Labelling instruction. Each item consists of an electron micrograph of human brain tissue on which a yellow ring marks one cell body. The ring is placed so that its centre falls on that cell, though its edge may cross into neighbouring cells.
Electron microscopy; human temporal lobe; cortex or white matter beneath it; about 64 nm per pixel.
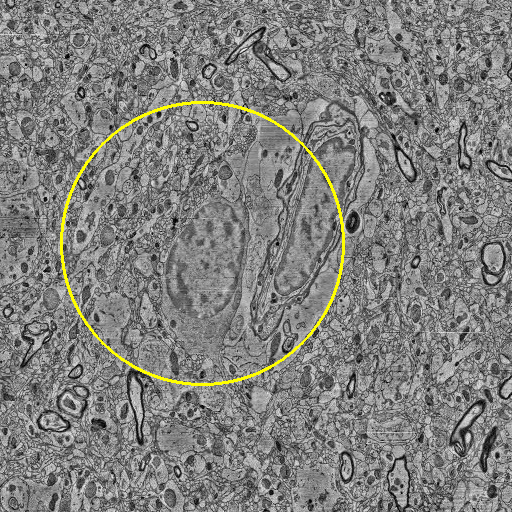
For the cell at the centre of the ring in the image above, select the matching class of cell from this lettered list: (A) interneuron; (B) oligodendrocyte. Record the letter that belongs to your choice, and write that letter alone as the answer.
B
